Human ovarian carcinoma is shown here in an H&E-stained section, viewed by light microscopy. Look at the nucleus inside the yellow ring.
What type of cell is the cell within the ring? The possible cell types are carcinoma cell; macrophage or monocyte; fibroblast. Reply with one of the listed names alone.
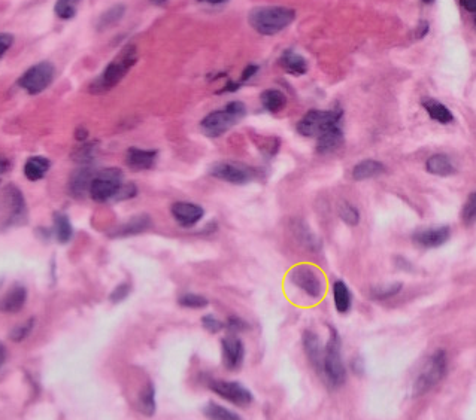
fibroblast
